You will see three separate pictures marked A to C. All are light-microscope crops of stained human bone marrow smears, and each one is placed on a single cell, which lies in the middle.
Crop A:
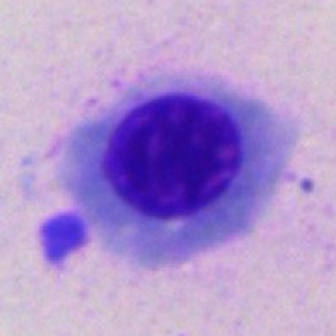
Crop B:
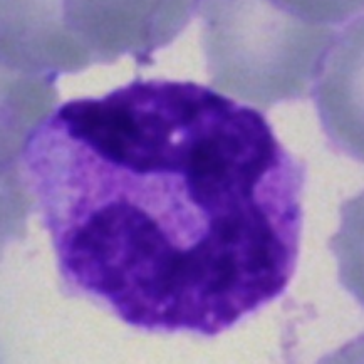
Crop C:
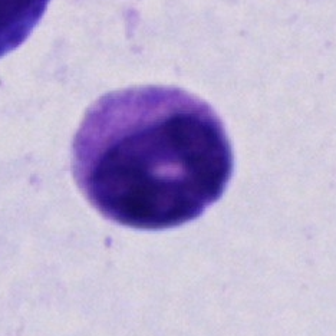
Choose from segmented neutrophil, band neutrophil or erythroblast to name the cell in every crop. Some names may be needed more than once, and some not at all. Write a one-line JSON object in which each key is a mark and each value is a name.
{"A": "erythroblast", "B": "segmented neutrophil", "C": "band neutrophil"}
